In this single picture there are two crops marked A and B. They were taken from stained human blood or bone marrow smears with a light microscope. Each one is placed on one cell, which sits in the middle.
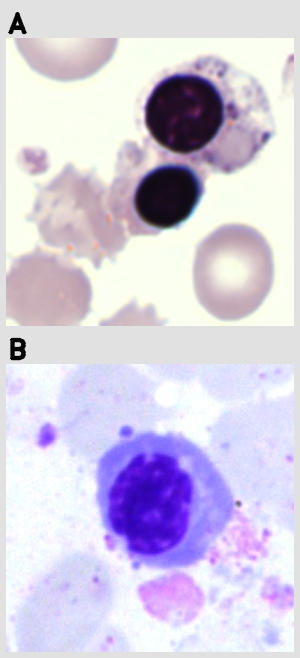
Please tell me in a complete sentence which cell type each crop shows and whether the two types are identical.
Yes, both crops show erythroblasts at their middles.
